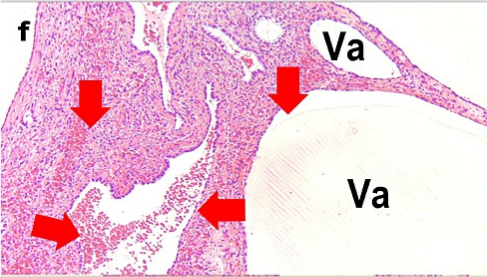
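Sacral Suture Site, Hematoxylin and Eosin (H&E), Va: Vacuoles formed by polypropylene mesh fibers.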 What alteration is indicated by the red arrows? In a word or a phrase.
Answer: Hemorrhage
